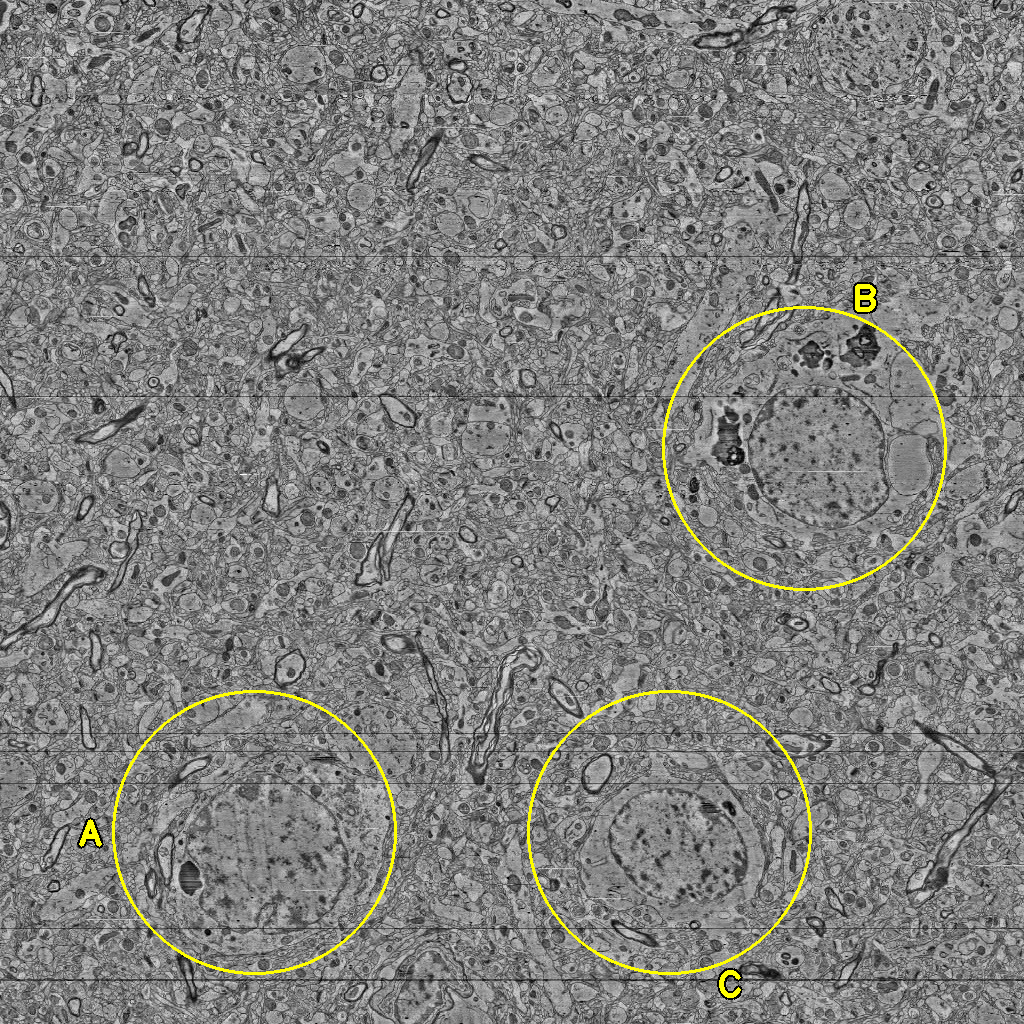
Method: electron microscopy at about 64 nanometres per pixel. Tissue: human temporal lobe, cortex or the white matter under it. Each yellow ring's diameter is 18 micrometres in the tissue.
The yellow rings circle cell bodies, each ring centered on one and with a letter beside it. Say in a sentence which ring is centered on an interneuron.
Ring A is centered on it.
